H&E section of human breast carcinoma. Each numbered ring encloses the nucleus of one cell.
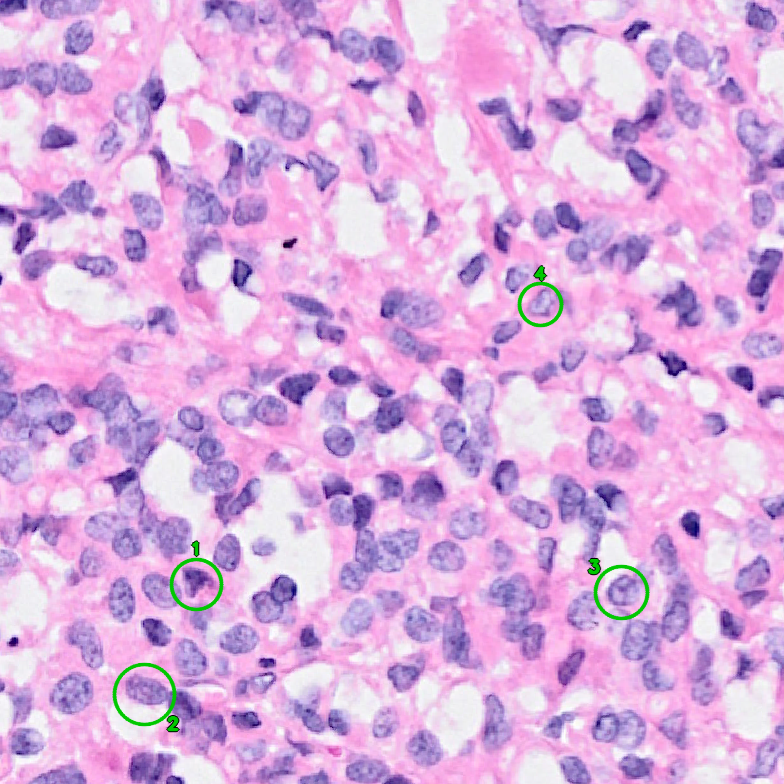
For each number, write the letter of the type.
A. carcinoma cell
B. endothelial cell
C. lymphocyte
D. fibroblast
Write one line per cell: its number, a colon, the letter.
1: A
2: A
3: A
4: B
